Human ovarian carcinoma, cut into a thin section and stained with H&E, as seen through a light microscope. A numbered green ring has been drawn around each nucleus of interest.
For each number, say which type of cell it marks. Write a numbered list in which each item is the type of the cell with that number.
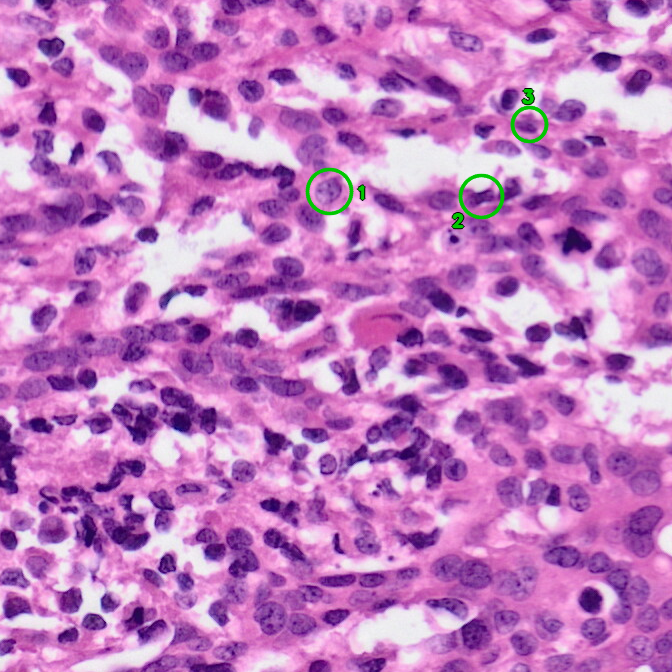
1. macrophage or monocyte
2. carcinoma cell
3. carcinoma cell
